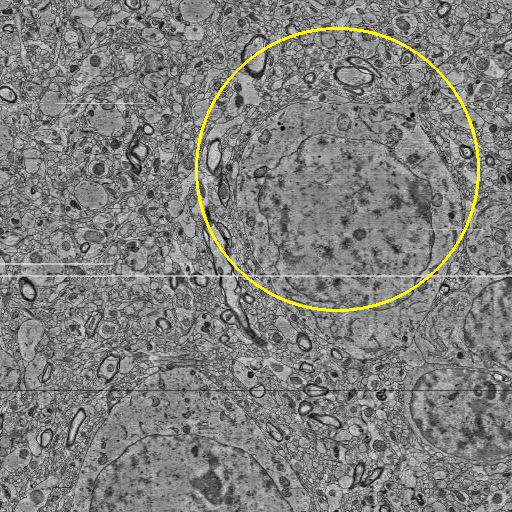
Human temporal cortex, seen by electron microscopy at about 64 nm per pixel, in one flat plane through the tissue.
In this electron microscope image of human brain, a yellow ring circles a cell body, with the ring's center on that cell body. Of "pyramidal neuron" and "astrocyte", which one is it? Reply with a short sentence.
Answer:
It is a pyramidal neuron at the center of the ring.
